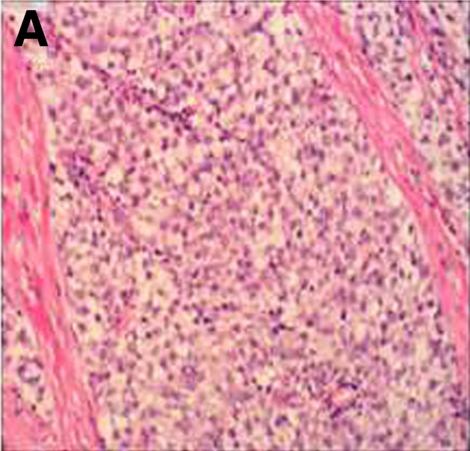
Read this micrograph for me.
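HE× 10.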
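Tumor of similarly sized cells with pale, light-colored cytoplasm and round purple nuclei, arranged in a large nest bounded by bands of pink fibrous stroma. Small, dark, round lymphocyte nuclei are scattered among the tumor cells and along the stroma.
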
